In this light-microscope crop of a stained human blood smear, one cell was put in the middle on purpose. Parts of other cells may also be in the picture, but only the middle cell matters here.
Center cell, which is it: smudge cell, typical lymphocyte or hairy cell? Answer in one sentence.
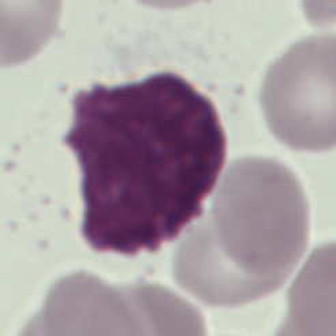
At the crop's centre, the cell is a smudge cell.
